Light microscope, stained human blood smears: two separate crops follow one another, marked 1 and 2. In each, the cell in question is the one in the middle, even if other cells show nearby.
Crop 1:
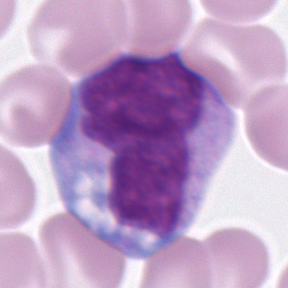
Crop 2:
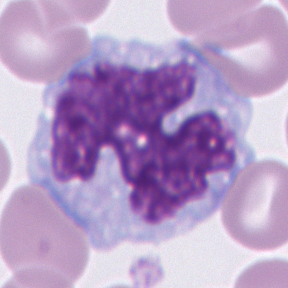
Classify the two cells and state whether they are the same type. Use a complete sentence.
Yes, it is monocytes that occupy the middle of both crops.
